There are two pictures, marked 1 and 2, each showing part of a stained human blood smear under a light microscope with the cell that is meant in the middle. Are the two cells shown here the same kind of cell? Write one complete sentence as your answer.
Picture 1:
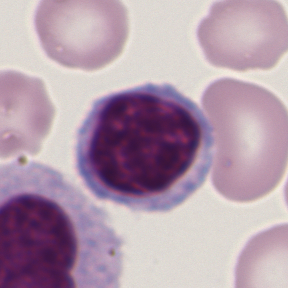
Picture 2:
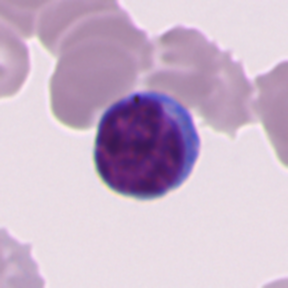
Yes, both cells are typical lymphocytes.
